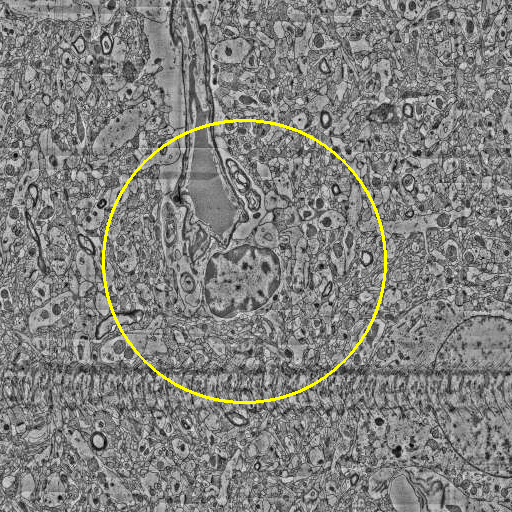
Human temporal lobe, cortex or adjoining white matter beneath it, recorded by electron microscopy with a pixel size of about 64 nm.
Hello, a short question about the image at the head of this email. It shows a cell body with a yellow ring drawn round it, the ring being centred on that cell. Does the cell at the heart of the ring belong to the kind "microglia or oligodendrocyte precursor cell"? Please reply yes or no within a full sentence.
Yes, the cell at the heart of the ring in that image is of that kind.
